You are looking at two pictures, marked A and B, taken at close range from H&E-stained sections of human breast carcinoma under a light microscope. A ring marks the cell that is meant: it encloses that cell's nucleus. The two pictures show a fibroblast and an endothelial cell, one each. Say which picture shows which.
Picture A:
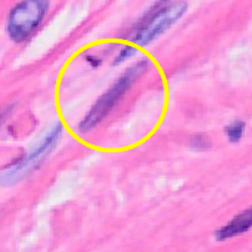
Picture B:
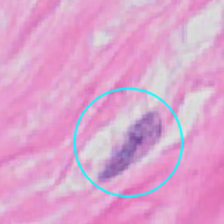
A: endothelial cell
B: fibroblast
